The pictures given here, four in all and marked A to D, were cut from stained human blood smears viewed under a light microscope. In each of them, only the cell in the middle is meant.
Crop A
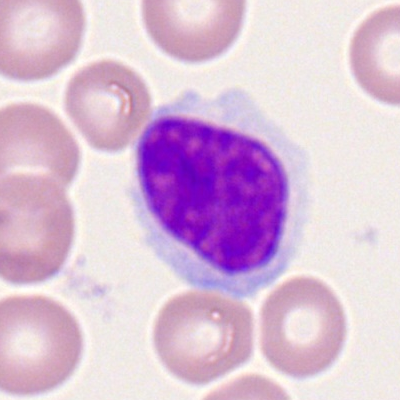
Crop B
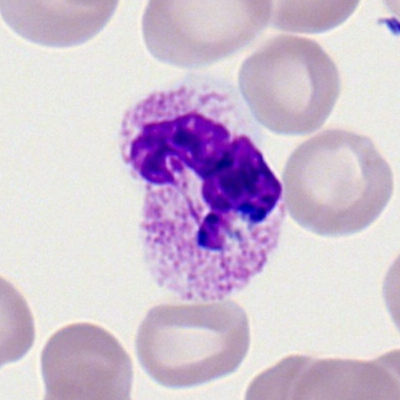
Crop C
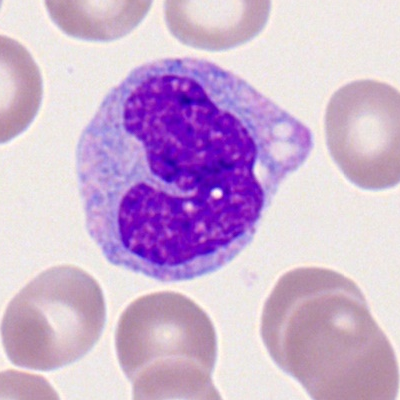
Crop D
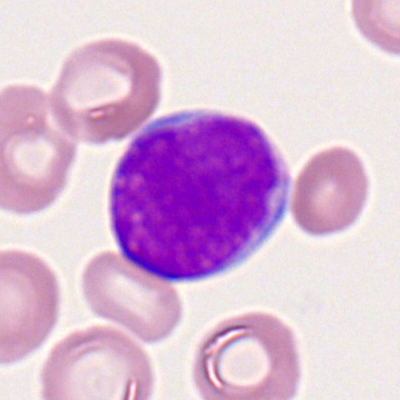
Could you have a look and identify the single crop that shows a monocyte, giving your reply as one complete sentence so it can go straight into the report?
The crop with a monocyte in it is crop C.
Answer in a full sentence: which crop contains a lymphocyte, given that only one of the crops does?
Crop A is where a lymphocyte is to be found.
